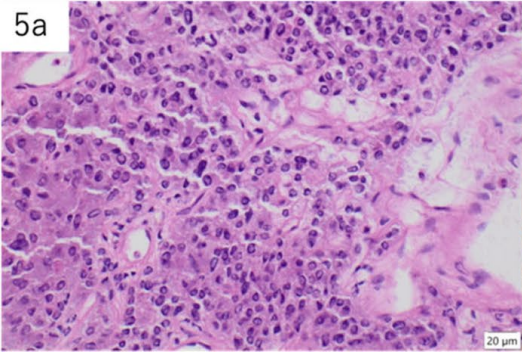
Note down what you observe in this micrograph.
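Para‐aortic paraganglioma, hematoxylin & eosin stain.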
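Tumor tissue made of epithelioid cells arranged in sheets and nests, separated by thin fibrovascular strands and small vascular spaces. The cells are polygonal with round to oval, fairly uniform nuclei and abundant finely granular purplish cytoplasm. On the right the cell groups give way to a loose, pale pink stroma with scattered spindle-shaped cells.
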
